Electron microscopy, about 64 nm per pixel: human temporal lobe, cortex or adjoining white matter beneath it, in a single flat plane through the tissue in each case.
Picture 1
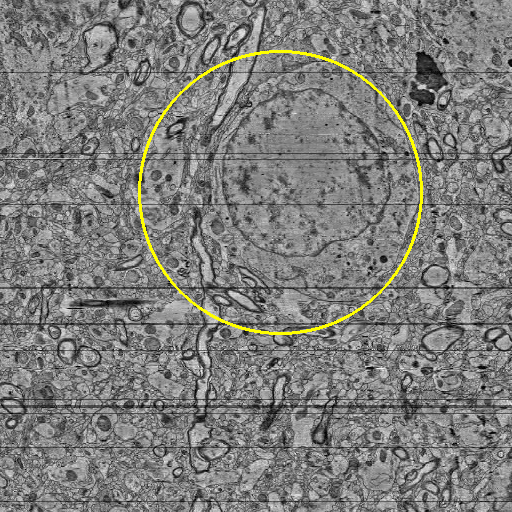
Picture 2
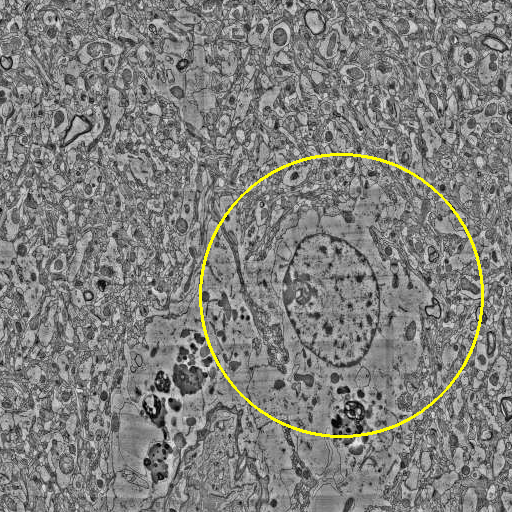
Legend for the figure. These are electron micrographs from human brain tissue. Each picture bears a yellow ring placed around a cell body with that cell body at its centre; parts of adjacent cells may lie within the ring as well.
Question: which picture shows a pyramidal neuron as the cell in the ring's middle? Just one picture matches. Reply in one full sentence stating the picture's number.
It is picture 1 whose yellow ring is centred on the requested cell.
